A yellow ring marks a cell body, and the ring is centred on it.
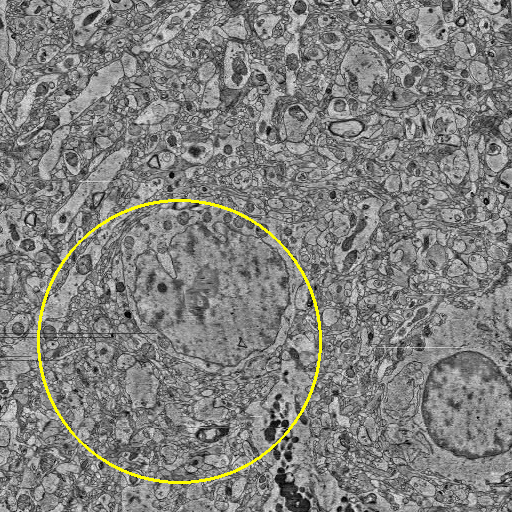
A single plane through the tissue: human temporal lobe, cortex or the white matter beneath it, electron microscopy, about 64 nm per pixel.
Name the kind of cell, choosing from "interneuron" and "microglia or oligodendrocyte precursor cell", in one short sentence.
The marked cell body belongs to an interneuron.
